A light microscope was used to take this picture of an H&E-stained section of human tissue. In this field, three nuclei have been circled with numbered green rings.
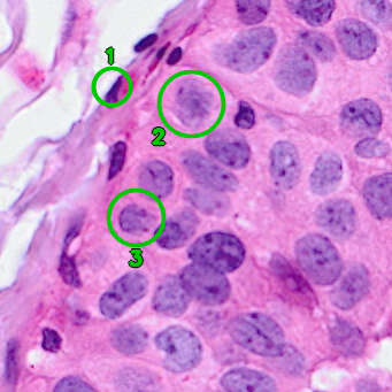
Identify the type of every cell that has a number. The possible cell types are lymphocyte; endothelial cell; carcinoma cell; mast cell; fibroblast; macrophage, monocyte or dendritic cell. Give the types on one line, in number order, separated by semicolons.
endothelial cell; carcinoma cell; carcinoma cell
